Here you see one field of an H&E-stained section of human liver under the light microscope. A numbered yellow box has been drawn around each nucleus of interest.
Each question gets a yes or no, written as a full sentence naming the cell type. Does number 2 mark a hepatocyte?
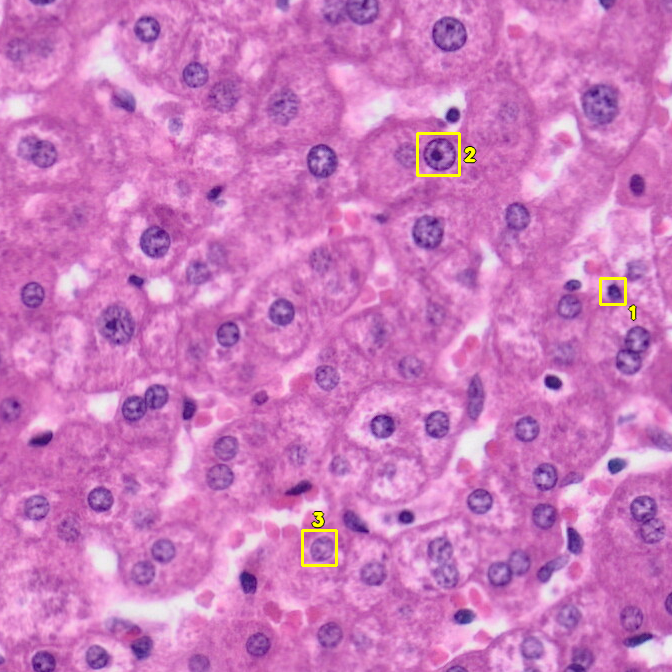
Yes, the cell at number 2 is a hepatocyte.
